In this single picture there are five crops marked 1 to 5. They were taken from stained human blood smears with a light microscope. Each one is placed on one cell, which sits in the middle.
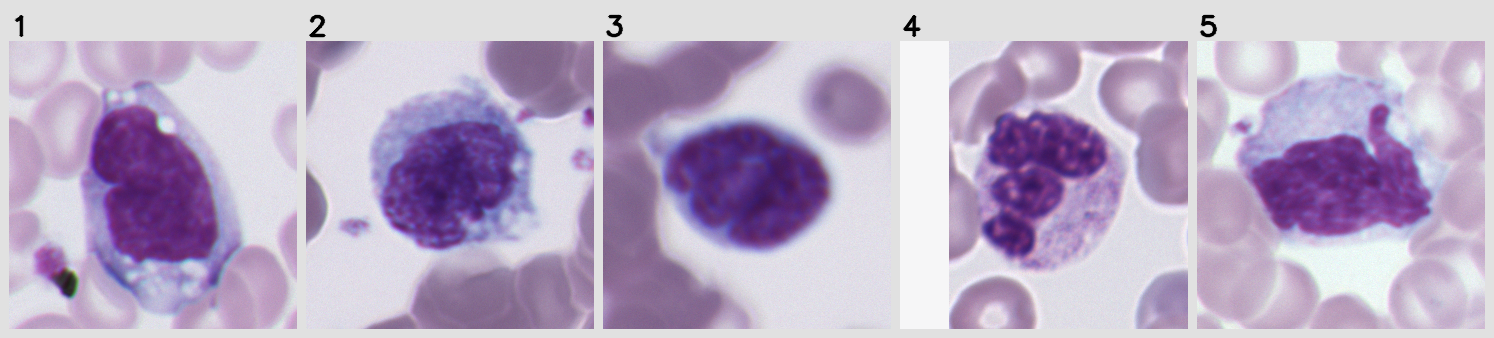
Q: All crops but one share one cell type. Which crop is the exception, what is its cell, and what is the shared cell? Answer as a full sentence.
Crop 4 is a neutrophil, while the rest of the set consists of monocytes.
